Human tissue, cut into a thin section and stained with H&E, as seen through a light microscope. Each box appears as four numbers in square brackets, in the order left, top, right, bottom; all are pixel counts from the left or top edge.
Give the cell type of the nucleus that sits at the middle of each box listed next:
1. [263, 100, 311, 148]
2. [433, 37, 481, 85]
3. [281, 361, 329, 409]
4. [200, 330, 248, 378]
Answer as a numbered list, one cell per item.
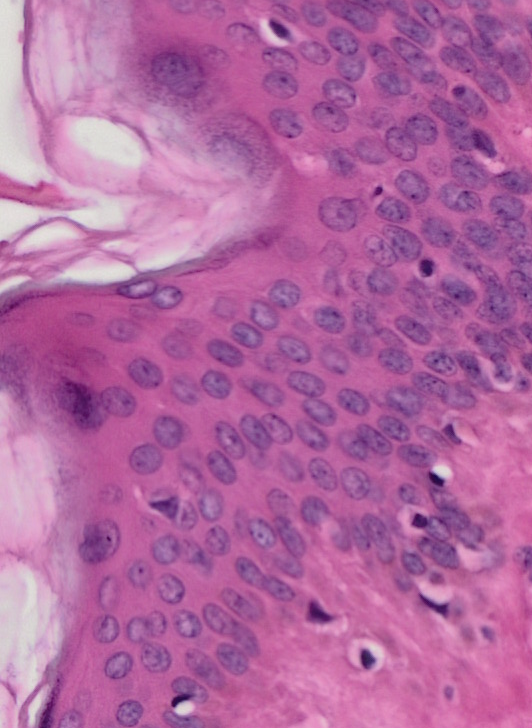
1. suprabasal keratinocyte
2. basal keratinocyte
3. suprabasal keratinocyte
4. suprabasal keratinocyte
